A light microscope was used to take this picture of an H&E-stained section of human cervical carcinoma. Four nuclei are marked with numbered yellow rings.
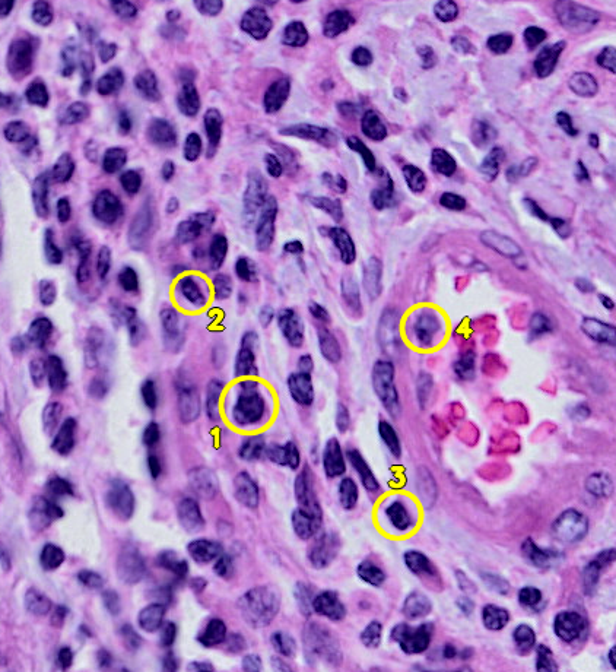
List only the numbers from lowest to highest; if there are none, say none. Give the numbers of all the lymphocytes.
1, 2, 3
